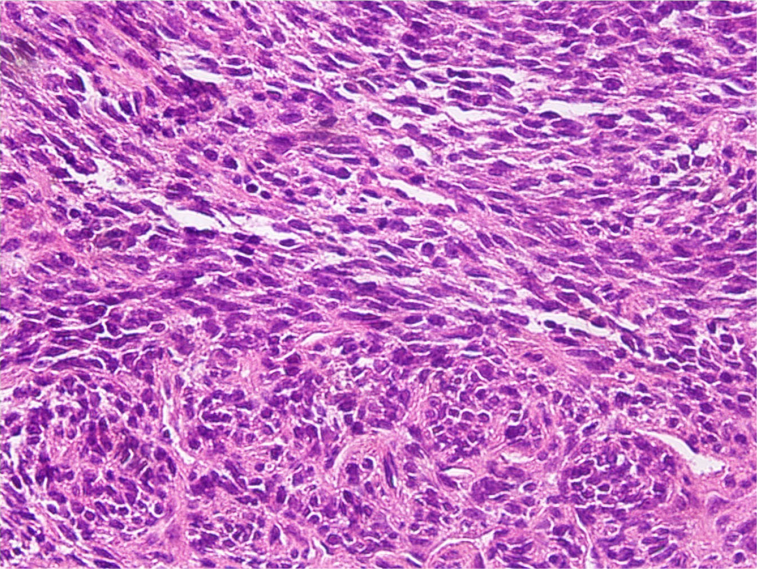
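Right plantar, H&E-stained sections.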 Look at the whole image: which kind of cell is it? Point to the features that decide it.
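The upper part shows elongated cells with spindle-shaped nuclei running in parallel fascicles. The lower part shows rounder, plumper cells with ovoid nuclei in small nests. The nuclei are dark-staining and closely crowded. On this evidence: spindle-shaped and epithelioid cells.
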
